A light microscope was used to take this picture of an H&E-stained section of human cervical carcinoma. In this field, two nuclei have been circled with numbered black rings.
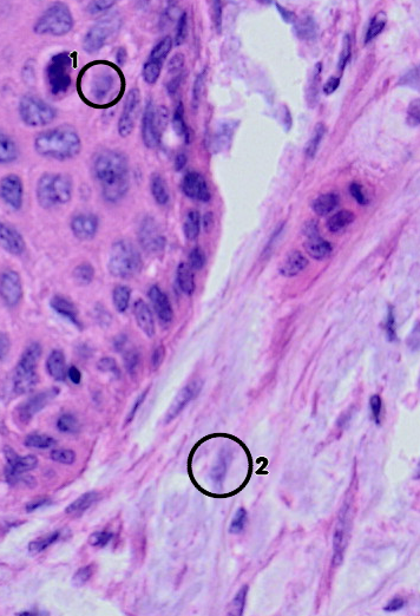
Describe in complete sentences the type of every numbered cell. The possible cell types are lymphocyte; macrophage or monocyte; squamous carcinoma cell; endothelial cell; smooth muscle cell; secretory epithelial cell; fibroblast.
Cell 1 is a squamous carcinoma cell. Cell 2 is a fibroblast.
